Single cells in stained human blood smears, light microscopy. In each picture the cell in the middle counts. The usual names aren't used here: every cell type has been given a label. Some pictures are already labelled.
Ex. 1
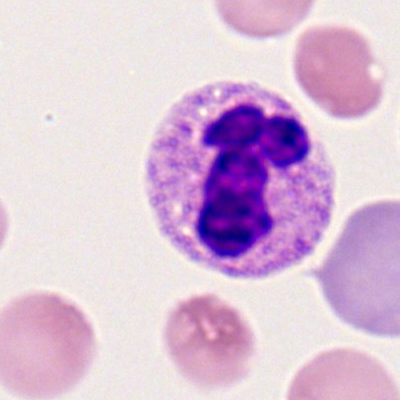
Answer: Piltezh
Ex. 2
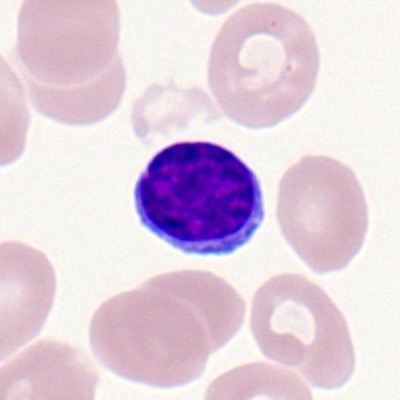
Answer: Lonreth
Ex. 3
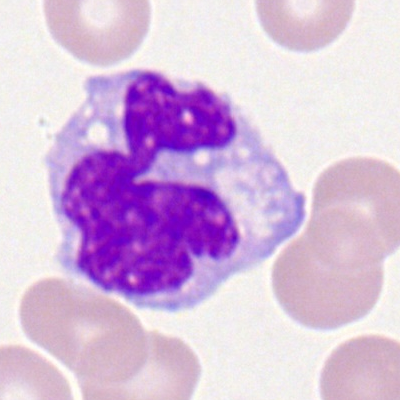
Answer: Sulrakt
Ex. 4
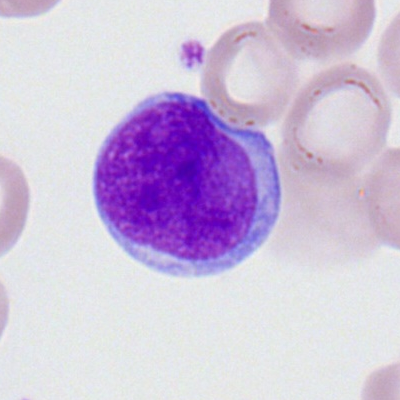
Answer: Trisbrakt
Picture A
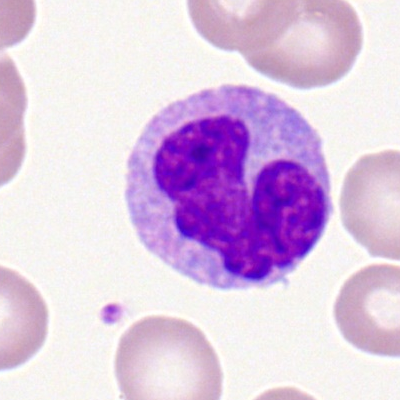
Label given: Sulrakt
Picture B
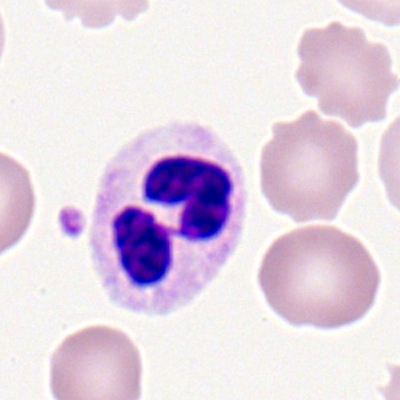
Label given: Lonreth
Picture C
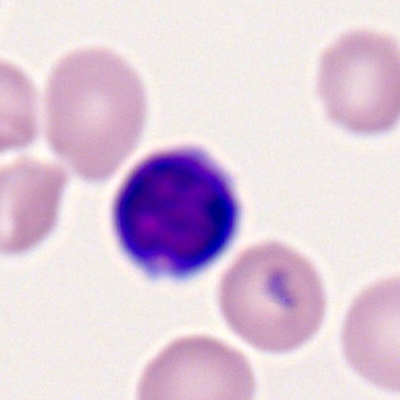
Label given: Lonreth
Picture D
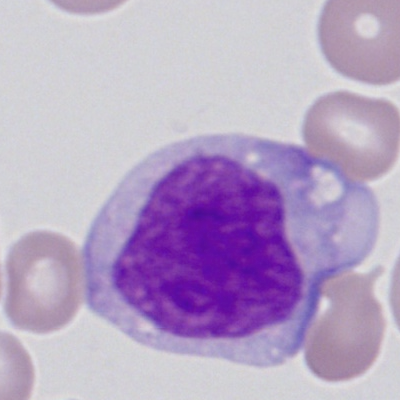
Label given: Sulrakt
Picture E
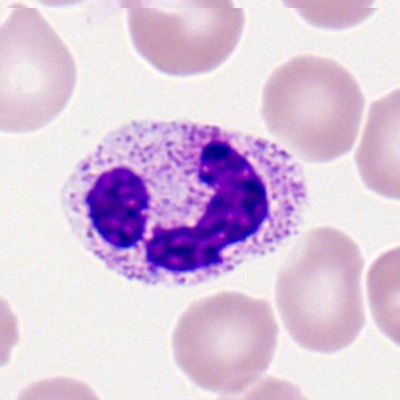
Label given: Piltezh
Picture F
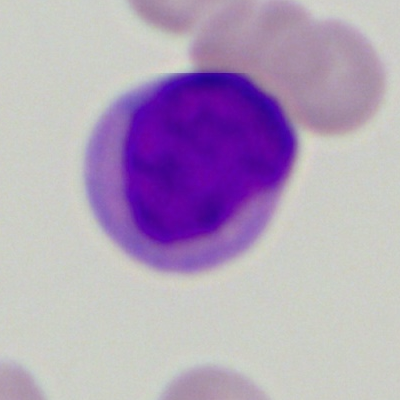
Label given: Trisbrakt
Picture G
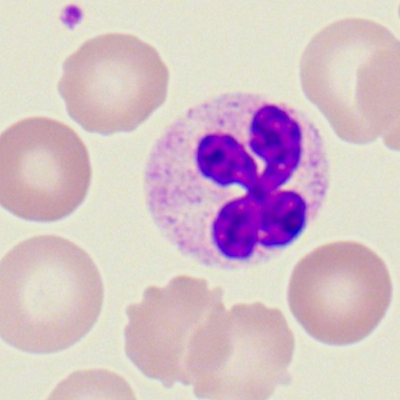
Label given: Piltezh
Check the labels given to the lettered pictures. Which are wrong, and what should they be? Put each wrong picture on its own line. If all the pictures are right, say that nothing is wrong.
B: Piltezh, not Lonreth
